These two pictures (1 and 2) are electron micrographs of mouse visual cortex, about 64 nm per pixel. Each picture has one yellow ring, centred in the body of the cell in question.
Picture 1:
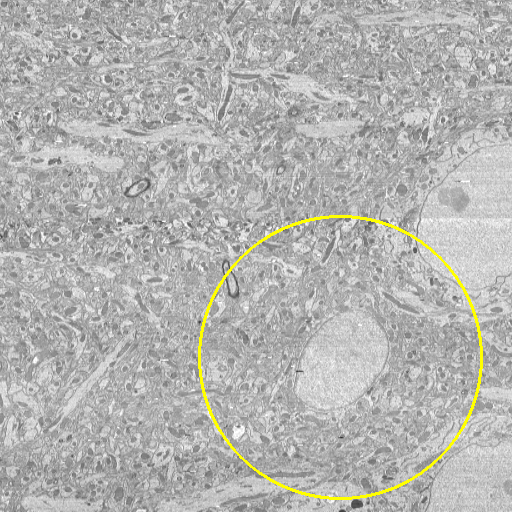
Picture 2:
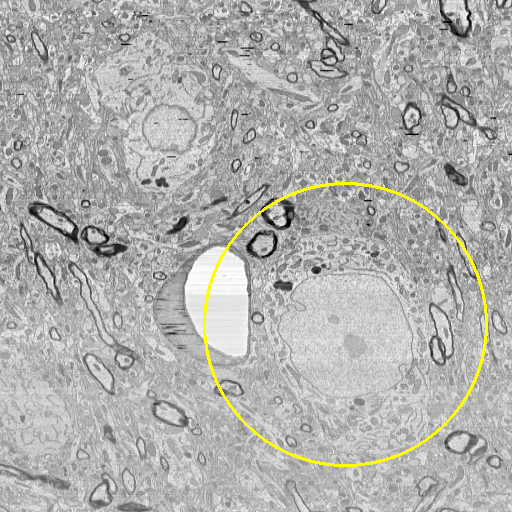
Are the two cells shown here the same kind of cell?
No, they differ: the cell is an astrocyte in picture 1 and an inhibitory neuron in picture 2.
